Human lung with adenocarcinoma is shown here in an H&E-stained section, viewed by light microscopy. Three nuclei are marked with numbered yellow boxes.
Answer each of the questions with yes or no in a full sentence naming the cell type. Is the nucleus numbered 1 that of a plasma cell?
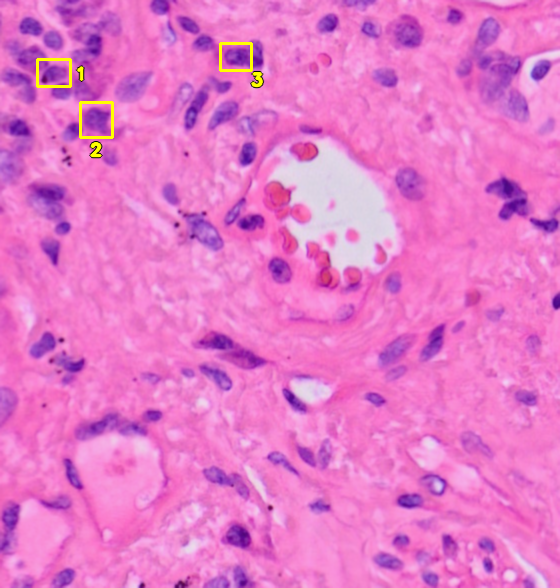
No, the cell given the number 1 is a lymphocyte, so not a plasma cell.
